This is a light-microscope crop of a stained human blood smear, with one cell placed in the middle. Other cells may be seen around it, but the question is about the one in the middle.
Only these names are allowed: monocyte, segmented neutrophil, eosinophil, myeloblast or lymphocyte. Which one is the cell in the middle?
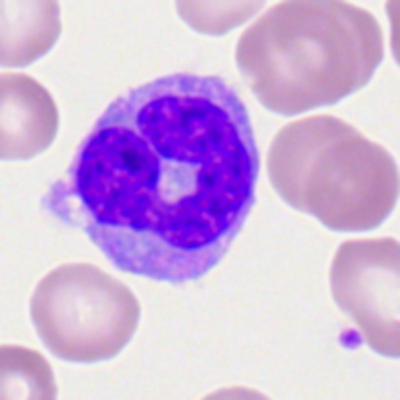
monocyte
